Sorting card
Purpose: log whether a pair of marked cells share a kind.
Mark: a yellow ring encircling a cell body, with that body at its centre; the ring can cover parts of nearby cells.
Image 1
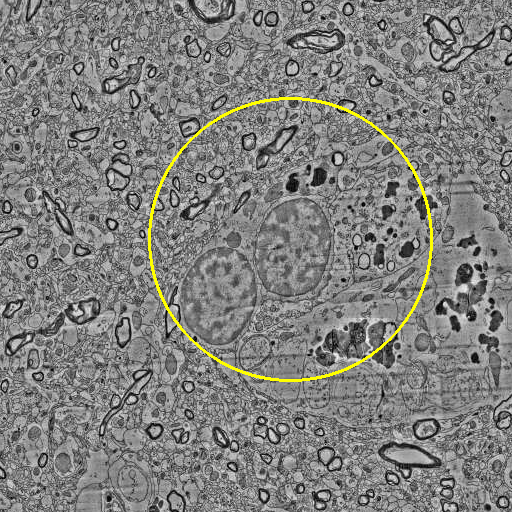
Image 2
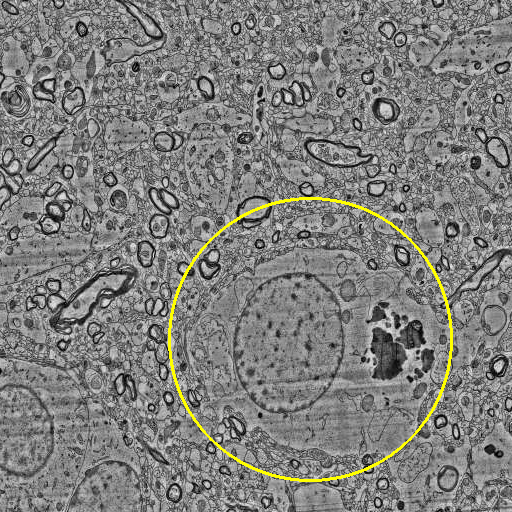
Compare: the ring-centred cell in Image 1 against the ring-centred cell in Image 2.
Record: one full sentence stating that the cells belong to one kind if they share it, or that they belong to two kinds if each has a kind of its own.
Across Images 1 and 2, the two ring-centred cells belong to two kinds.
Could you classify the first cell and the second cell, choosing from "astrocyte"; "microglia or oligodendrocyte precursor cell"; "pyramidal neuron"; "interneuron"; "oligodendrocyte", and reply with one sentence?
The second cell is an astrocyte, while the first is an oligodendrocyte.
